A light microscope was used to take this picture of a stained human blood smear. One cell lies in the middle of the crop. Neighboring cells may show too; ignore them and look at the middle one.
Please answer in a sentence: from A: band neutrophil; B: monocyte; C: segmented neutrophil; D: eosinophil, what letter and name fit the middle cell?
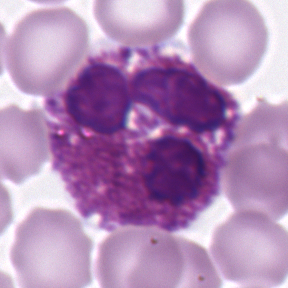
The correct option here is D; the middle cell is an eosinophil.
